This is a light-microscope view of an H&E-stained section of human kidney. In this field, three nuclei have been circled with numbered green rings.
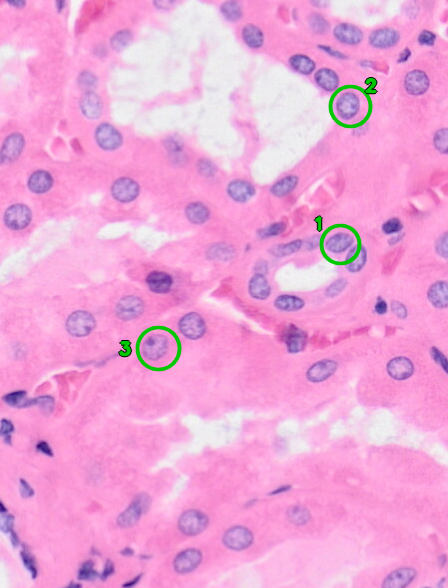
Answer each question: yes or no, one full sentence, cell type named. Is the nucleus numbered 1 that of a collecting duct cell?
Yes, number 1 is assigned to a cell that is a collecting duct cell.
